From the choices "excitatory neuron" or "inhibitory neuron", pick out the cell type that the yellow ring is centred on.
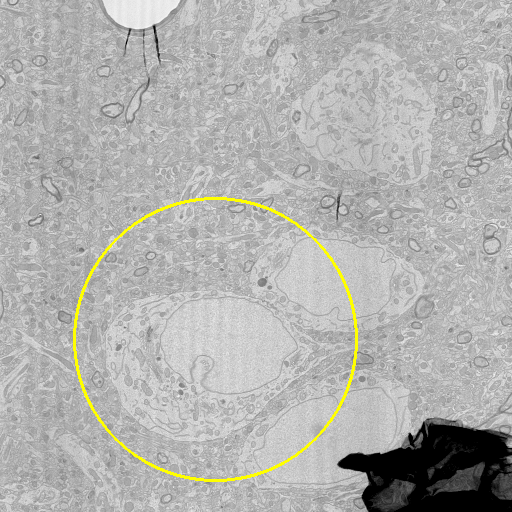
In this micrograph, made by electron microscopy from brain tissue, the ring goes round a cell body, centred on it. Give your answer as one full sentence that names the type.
The yellow ring is centred on an inhibitory neuron, whose cell body it encircles in the picture.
